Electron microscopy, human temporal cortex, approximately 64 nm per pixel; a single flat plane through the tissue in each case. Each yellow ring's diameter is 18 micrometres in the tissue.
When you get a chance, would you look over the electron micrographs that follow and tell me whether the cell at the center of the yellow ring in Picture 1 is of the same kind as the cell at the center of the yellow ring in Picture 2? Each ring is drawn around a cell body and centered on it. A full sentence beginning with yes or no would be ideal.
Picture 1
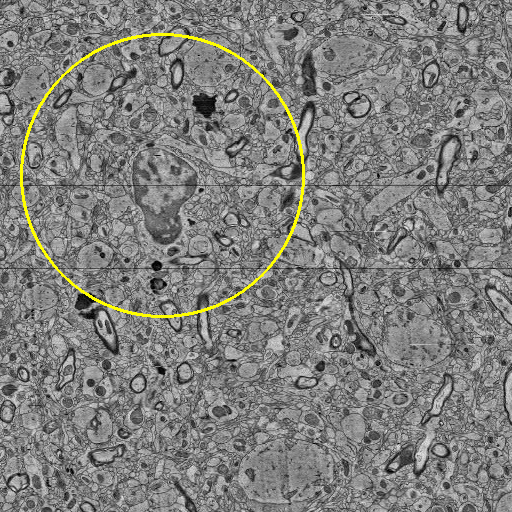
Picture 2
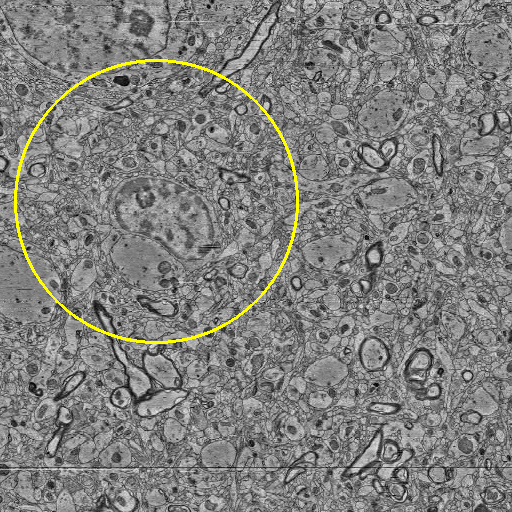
No, they are two kinds of cell.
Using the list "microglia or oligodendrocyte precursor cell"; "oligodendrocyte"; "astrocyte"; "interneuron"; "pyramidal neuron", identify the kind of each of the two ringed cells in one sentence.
The first is a microglial cell or oligodendrocyte precursor cell and the second is an oligodendrocyte.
